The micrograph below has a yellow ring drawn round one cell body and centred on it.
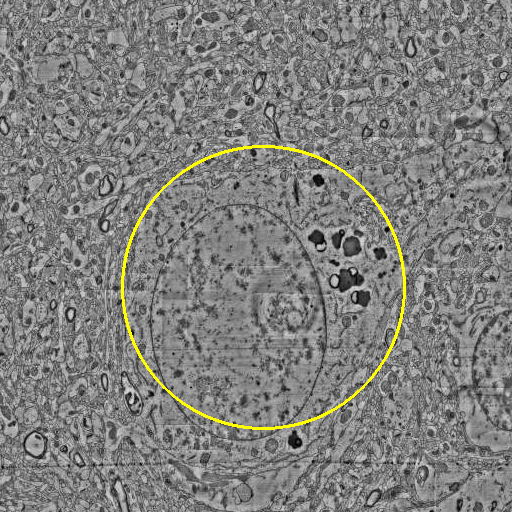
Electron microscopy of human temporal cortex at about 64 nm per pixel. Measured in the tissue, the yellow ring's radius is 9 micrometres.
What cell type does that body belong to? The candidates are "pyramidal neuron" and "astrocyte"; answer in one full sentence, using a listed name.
This is a pyramidal neuron, the cell whose body lies at the centre of the ring.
